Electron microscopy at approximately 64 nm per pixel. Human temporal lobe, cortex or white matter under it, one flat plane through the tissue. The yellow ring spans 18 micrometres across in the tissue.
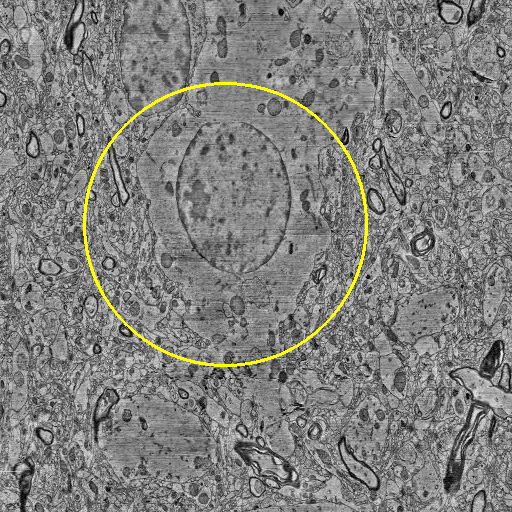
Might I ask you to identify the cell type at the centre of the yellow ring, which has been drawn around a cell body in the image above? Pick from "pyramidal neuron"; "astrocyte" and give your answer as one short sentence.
The centre of the ring falls on an astrocyte.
